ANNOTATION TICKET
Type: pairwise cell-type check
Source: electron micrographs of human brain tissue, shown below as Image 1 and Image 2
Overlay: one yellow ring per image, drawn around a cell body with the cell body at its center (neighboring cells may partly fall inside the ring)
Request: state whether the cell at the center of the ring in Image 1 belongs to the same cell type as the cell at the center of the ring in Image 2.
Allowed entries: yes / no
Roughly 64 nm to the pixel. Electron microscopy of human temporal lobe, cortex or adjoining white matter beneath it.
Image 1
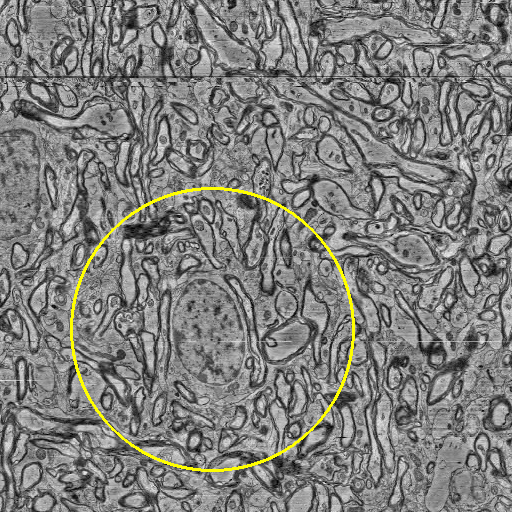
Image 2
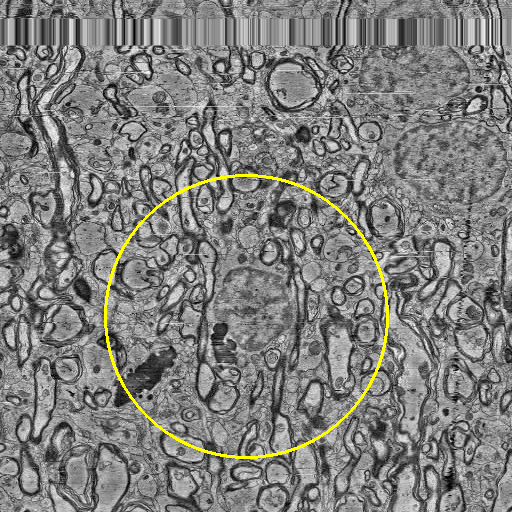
no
